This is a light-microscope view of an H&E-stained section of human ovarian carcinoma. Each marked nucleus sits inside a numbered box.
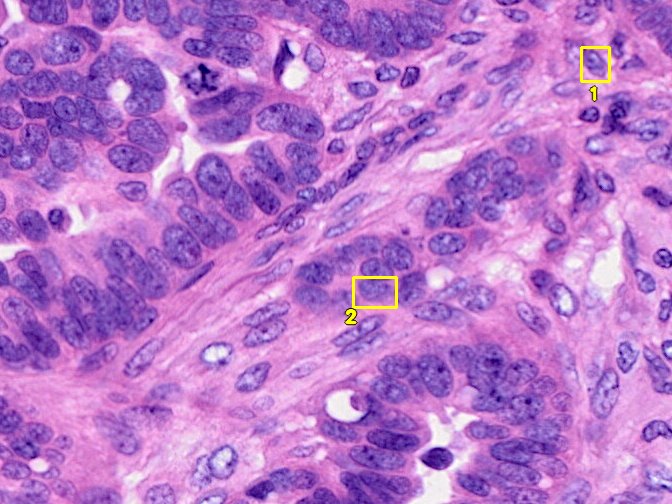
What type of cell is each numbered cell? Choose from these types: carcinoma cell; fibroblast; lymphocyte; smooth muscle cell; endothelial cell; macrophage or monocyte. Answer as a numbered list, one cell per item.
1. fibroblast
2. carcinoma cell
